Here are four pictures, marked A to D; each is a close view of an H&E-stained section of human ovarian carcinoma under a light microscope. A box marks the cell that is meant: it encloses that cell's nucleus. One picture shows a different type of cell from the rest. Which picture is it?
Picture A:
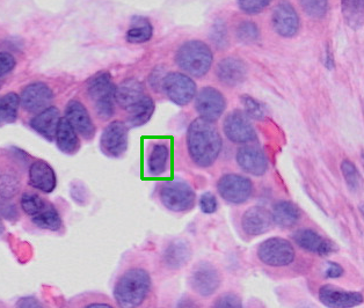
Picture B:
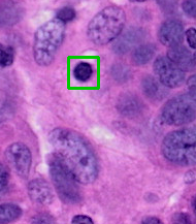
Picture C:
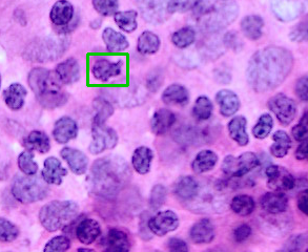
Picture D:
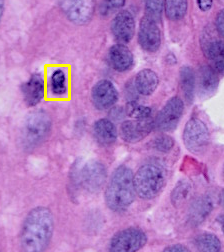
A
